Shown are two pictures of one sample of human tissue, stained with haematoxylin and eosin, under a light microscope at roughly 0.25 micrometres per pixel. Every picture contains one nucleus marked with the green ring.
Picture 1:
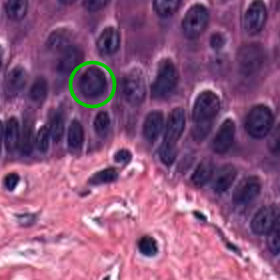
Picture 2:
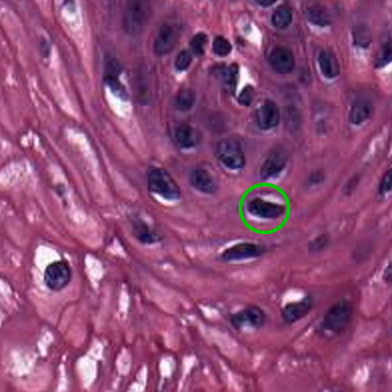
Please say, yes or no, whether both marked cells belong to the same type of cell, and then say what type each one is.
Yes, both are squamous epithelial cells.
